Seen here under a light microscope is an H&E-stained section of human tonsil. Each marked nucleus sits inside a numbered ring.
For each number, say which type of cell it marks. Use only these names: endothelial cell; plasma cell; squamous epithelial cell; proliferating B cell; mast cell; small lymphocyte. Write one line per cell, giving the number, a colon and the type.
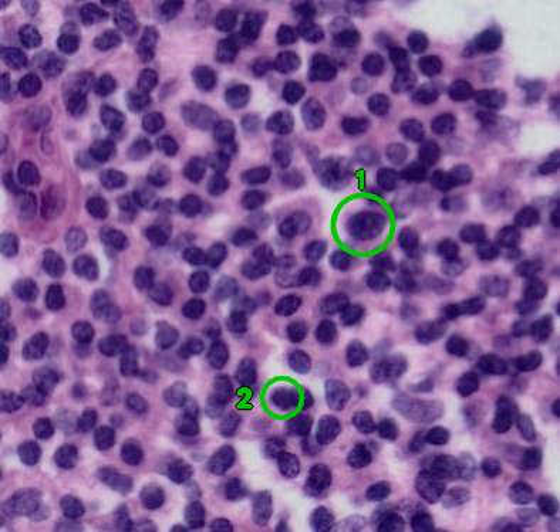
1: proliferating B cell
2: small lymphocyte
